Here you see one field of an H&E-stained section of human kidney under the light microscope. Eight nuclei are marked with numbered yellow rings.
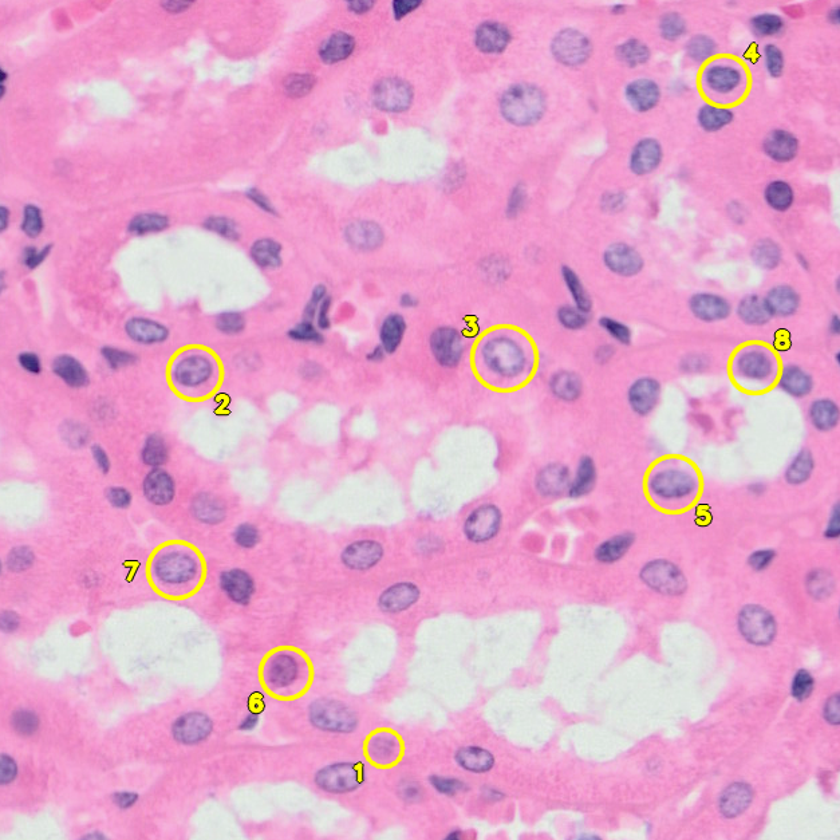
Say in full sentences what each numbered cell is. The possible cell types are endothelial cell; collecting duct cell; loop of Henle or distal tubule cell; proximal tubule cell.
Cell 1 is a proximal tubule cell, cell 2 is a proximal tubule cell, cell 3 is a proximal tubule cell, cell 4 is a loop of Henle or distal tubule cell, cell 5 is a loop of Henle or distal tubule cell, cell 6 is a proximal tubule cell, cell 7 is a proximal tubule cell and cell 8 is a loop of Henle or distal tubule cell.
